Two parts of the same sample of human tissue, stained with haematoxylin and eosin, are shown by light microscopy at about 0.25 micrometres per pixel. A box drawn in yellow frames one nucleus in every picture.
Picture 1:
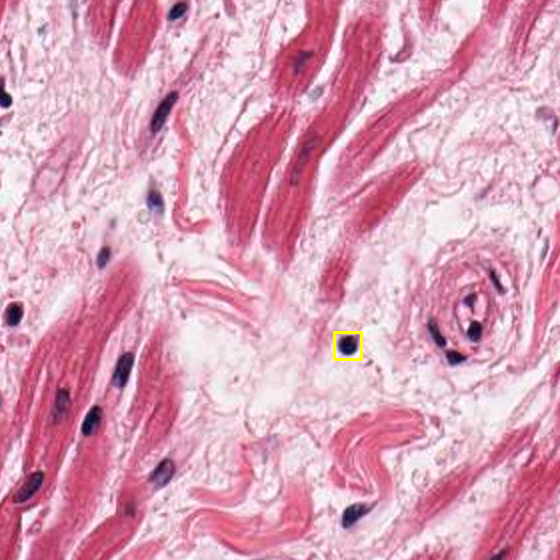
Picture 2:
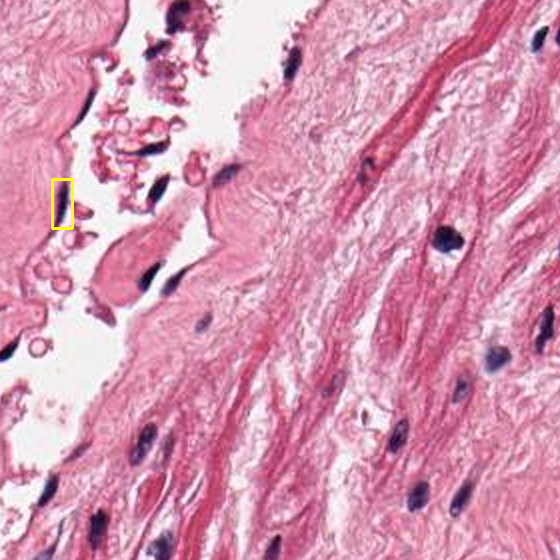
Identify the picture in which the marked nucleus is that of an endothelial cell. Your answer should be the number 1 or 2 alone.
2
